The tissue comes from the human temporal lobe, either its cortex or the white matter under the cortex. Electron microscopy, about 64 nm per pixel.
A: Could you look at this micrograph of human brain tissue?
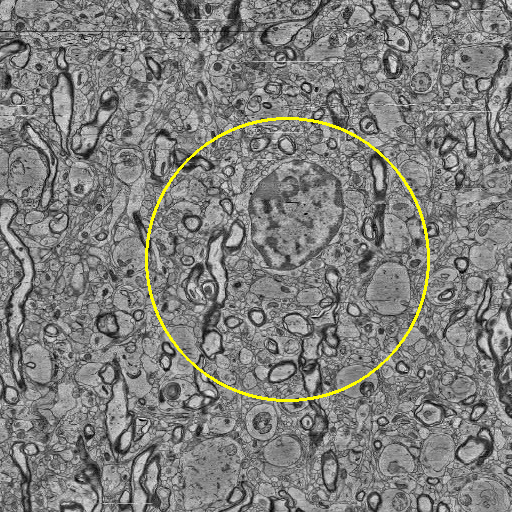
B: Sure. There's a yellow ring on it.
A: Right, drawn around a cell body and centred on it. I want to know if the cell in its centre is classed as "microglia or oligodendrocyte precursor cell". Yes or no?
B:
yes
